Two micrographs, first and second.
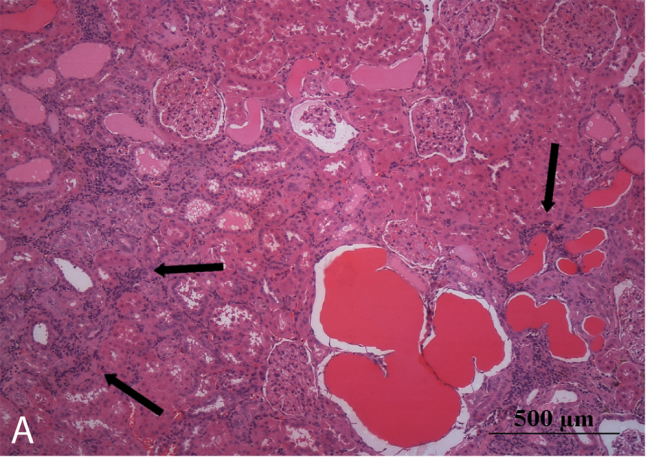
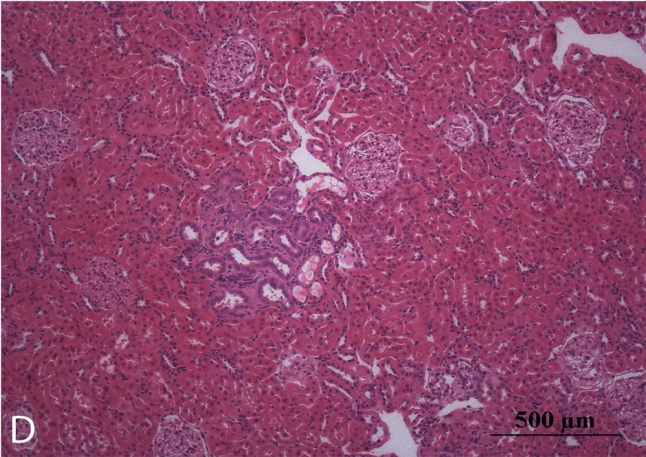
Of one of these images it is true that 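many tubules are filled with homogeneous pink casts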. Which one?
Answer: The first image.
